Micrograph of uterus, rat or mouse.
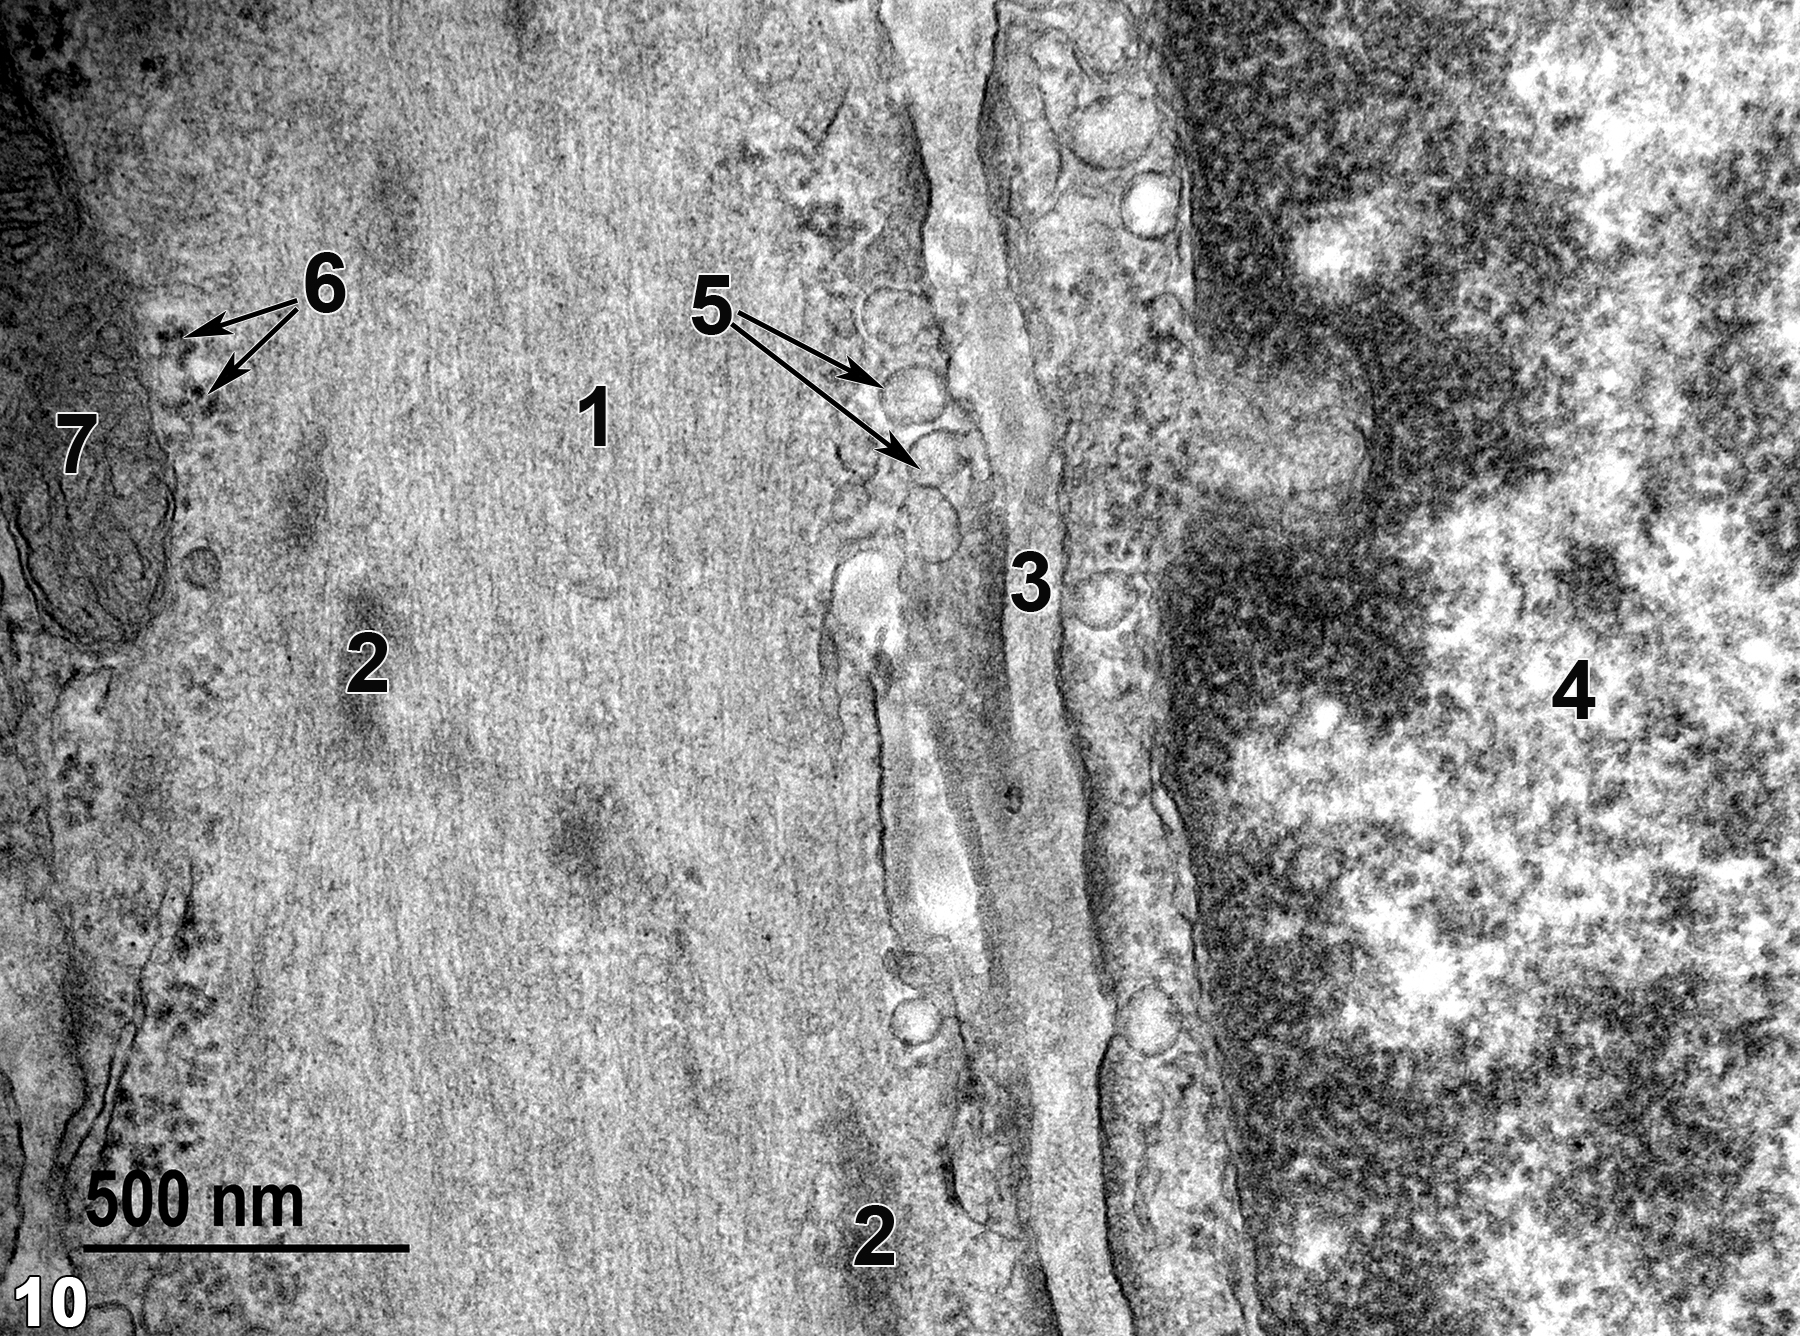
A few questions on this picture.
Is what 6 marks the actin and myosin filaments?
No. The scattered ribosomes.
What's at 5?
5 marks the pinocytotic vesicles.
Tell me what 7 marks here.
At 7: mitochondrion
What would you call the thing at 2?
The number 2 marks the periodic dense bodies.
